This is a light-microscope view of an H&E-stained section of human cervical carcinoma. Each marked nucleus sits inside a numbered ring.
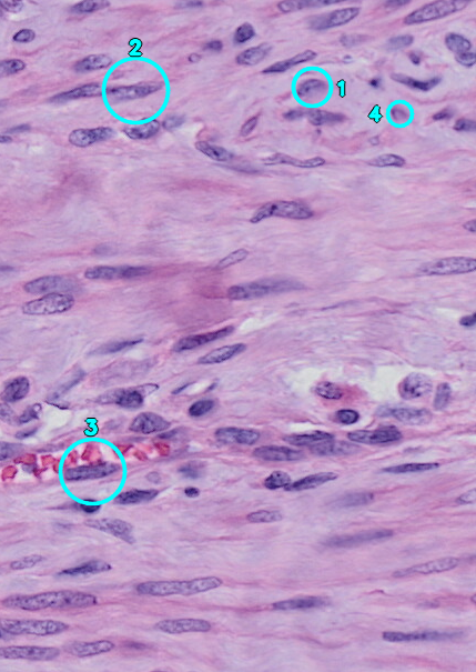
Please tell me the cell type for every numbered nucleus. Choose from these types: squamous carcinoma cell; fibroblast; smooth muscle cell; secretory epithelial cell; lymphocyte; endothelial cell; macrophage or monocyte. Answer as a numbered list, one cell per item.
1. smooth muscle cell
2. smooth muscle cell
3. endothelial cell
4. smooth muscle cell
